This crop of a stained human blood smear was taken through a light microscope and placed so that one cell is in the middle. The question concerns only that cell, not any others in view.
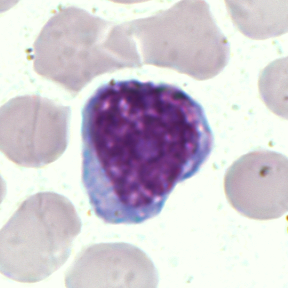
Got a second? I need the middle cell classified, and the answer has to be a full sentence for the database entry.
The cell marked by its central position in the crop is a plasma cell.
